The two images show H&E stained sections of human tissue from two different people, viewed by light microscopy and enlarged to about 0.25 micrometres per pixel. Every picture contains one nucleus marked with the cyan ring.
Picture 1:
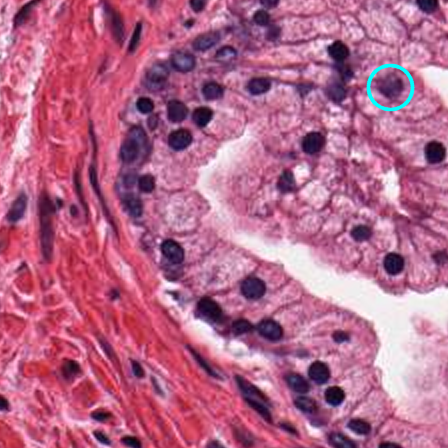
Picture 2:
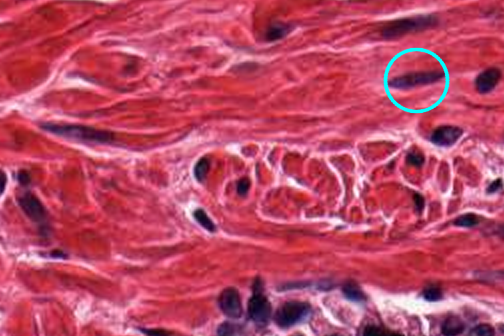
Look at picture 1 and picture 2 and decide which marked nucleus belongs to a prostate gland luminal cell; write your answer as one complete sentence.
The cell to which the marked nucleus in picture 1 belongs is a prostate gland luminal cell.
